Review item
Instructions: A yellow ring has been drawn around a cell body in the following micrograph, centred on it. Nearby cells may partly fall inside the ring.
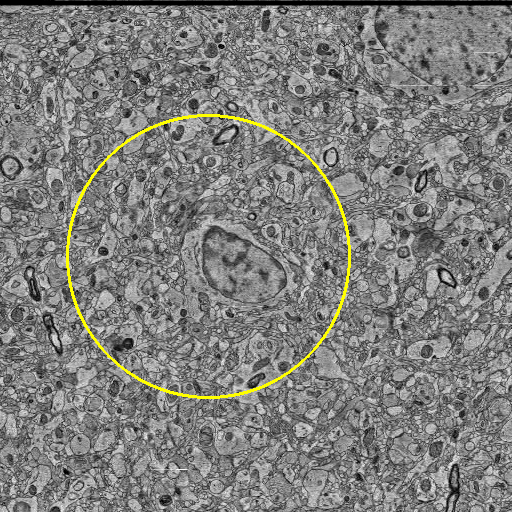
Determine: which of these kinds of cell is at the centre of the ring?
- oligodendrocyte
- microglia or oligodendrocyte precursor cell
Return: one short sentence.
The cell body in the middle of the ring is that of a microglial cell or oligodendrocyte precursor cell.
